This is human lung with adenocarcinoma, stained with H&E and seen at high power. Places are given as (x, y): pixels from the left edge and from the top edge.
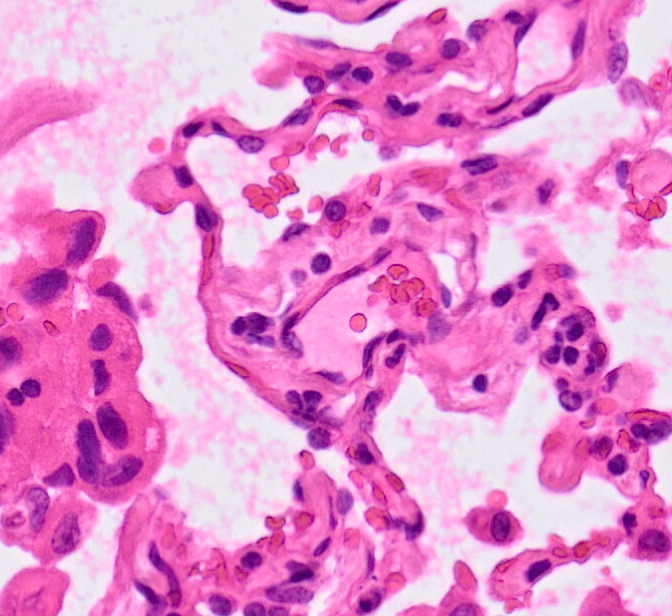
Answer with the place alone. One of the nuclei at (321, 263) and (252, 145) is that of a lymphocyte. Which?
(321, 263)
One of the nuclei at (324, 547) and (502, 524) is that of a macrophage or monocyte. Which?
(502, 524)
